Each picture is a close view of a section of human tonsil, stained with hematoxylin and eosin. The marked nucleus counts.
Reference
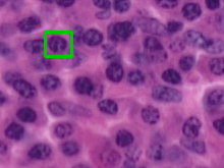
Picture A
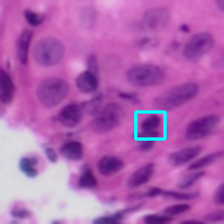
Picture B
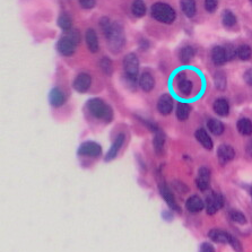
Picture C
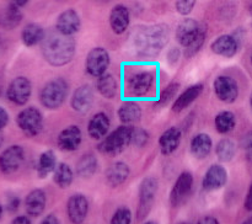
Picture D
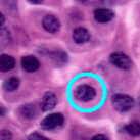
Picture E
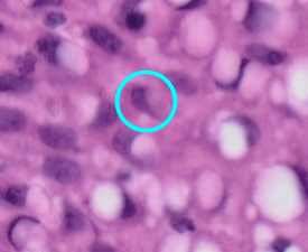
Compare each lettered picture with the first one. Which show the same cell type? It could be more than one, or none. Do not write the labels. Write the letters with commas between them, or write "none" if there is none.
B, C, D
